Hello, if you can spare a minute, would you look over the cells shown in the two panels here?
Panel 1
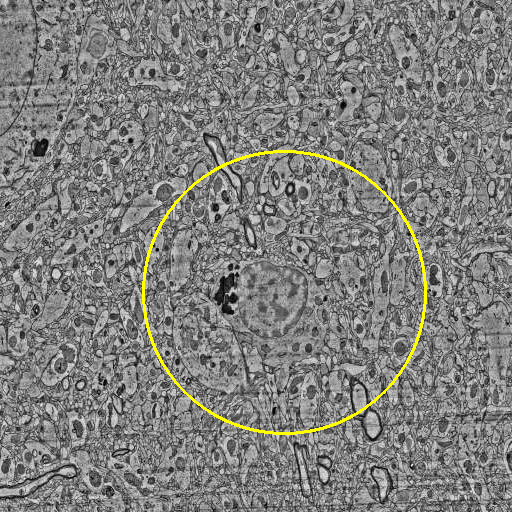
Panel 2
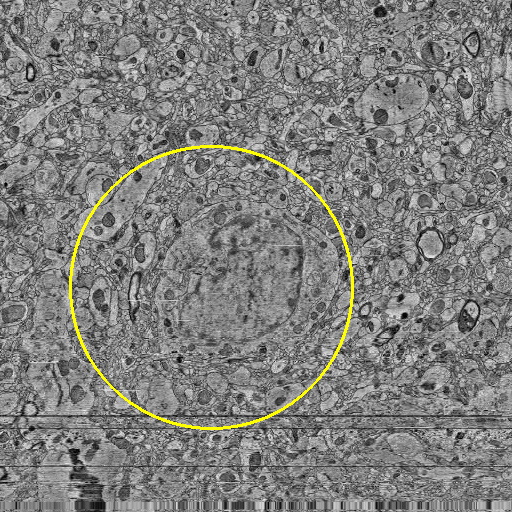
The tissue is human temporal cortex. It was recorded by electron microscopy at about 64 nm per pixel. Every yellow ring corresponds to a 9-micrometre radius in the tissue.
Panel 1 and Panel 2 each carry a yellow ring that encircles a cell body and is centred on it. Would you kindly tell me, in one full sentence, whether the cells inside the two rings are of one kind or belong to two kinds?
The cells at the centres of the rings in Panel 1 and Panel 2 belong to two kinds.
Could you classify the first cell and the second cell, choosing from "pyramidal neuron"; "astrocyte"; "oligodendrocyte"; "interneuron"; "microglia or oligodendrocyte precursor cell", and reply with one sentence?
The second cell is an interneuron, while the first is an oligodendrocyte.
